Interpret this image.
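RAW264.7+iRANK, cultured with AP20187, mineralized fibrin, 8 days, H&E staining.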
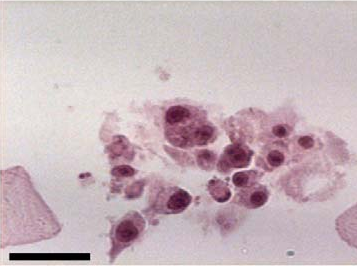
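The cells form an irregular aggregate with pale pink to lilac cytoplasm. Smaller rounded cells with a single dark nucleus lie at the edges of the cluster. On either side lie pale pink, angular pieces of acellular scaffold material with sharp edges.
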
